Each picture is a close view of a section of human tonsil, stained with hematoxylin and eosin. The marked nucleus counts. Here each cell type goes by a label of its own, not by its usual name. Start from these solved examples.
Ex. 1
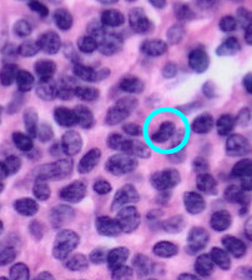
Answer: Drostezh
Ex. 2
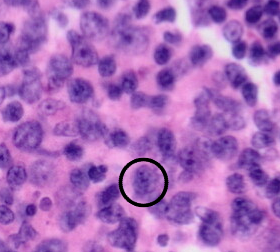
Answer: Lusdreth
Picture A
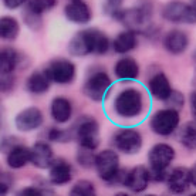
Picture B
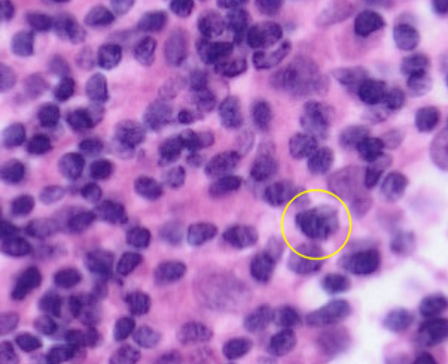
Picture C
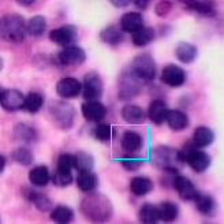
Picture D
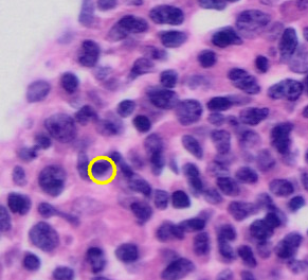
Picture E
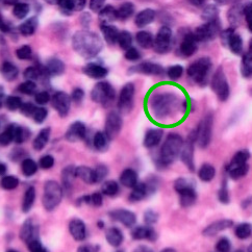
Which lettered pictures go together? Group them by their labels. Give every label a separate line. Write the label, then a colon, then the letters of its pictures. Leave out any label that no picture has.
Drostezh: A, C
Lusdreth: B, D, E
